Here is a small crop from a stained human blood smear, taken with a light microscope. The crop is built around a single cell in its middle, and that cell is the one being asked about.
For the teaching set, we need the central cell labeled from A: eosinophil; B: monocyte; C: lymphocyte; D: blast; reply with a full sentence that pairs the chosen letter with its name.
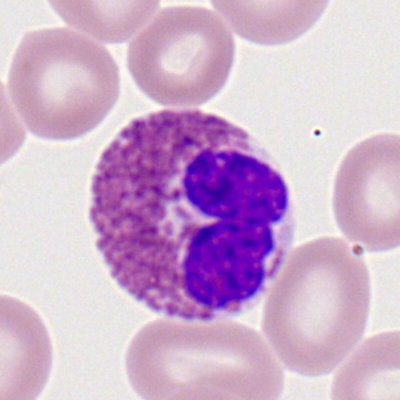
Given that the cell in the middle is an eosinophil, option A is correct.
